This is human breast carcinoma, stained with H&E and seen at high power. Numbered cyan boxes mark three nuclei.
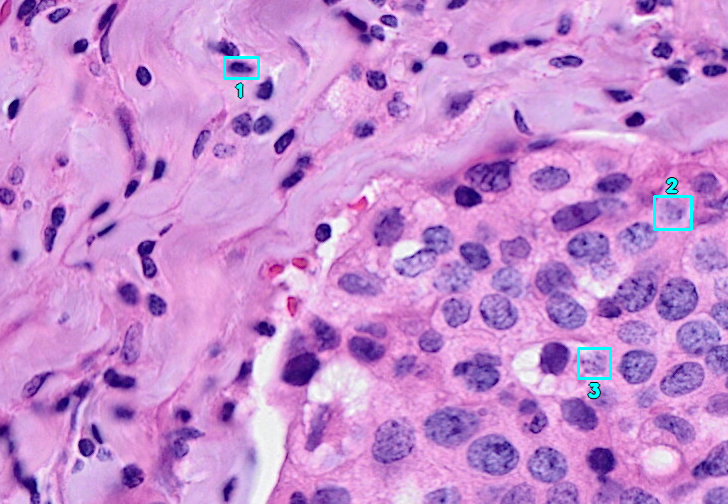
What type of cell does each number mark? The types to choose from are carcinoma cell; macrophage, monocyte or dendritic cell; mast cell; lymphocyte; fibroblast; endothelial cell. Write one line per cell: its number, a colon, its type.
1: lymphocyte
2: carcinoma cell
3: carcinoma cell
